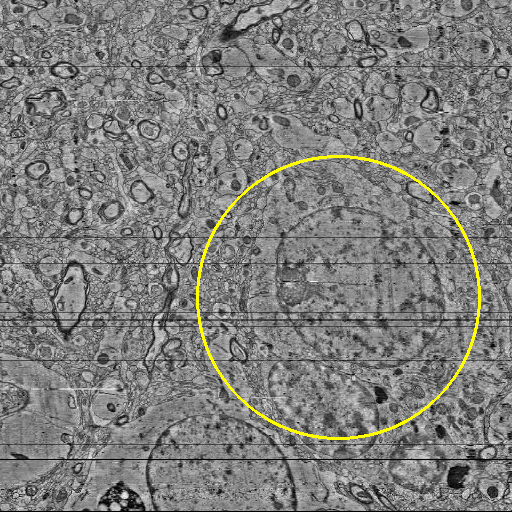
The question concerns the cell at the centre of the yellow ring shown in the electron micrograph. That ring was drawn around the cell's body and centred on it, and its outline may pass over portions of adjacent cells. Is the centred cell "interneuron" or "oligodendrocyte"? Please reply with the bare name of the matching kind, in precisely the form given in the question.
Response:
interneuron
